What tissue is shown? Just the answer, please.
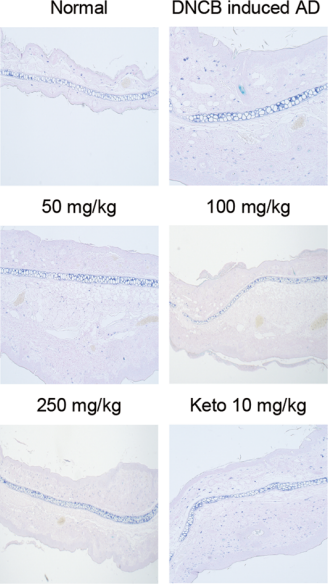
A: ear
